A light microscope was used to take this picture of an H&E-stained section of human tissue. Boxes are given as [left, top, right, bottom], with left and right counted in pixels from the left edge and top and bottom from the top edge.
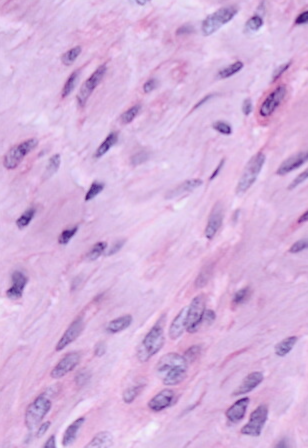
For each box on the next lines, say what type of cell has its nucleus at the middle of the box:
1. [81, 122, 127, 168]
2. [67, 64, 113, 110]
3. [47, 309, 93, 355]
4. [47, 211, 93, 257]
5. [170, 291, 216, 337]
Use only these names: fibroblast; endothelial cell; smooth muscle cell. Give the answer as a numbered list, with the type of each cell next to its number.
1. fibroblast
2. smooth muscle cell
3. smooth muscle cell
4. fibroblast
5. endothelial cell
